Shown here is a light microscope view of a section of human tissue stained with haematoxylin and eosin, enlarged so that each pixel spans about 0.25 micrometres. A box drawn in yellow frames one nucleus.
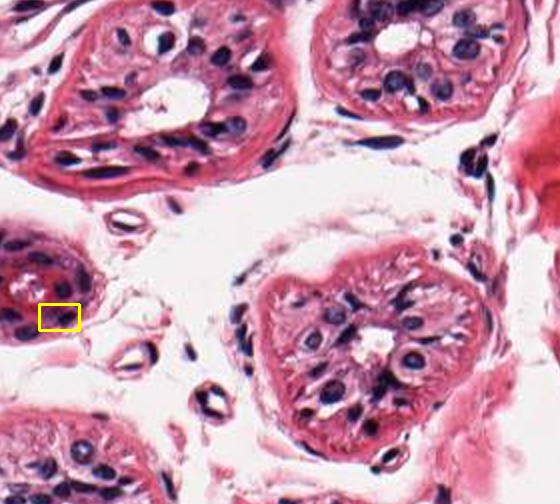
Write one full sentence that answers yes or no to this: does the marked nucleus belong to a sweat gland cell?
Yes, belonging to a sweat gland cell is the marked nucleus.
